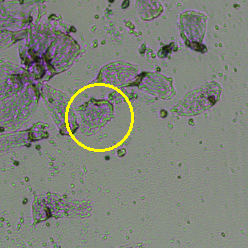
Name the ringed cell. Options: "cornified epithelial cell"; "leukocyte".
cornified epithelial cell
